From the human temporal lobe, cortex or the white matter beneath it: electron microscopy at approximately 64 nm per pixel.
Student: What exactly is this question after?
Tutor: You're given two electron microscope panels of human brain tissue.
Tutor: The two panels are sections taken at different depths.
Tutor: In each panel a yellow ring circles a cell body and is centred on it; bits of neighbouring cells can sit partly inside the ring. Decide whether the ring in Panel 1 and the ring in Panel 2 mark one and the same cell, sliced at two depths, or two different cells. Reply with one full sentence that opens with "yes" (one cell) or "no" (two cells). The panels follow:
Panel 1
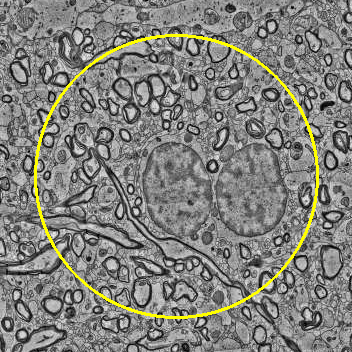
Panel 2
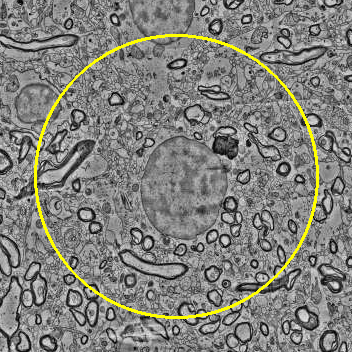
No, the two marked cells are different cells.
